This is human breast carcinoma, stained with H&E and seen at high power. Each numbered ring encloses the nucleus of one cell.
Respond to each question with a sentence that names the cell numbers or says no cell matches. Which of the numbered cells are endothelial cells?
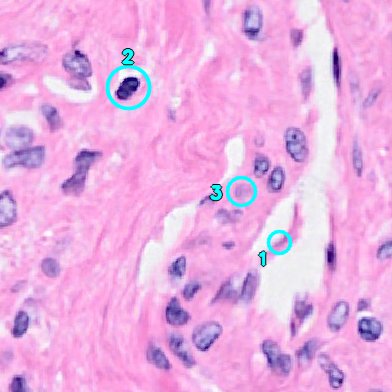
Classified as endothelial cells are the cells numbered 1 and 3.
